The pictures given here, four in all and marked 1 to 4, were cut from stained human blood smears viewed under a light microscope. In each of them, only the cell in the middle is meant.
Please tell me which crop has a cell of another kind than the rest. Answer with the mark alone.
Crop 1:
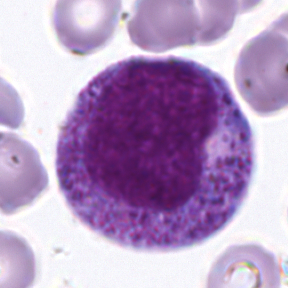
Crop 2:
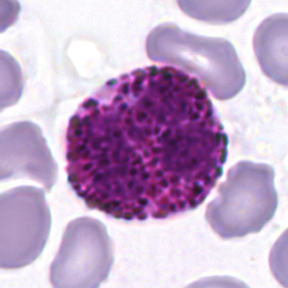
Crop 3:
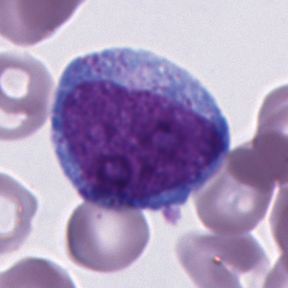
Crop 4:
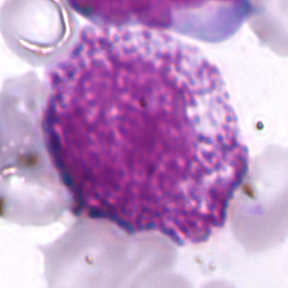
2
